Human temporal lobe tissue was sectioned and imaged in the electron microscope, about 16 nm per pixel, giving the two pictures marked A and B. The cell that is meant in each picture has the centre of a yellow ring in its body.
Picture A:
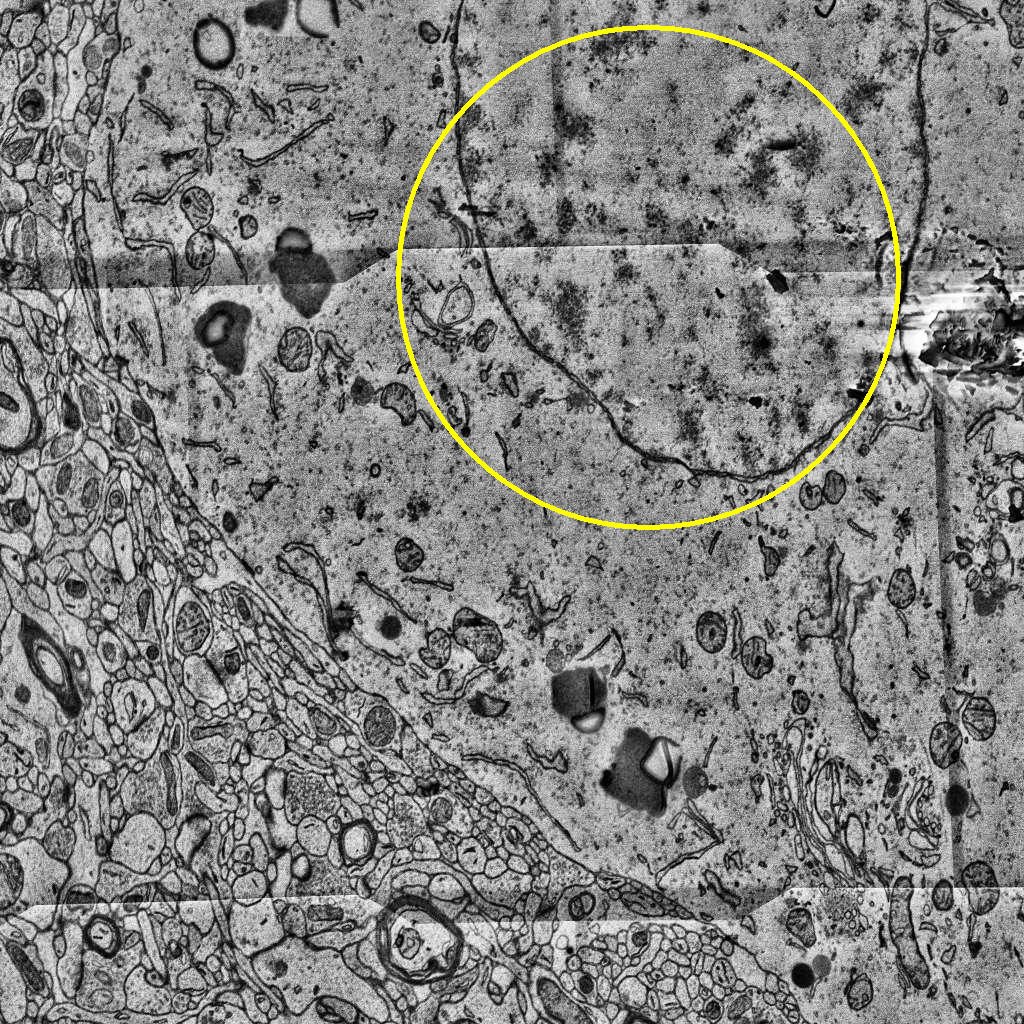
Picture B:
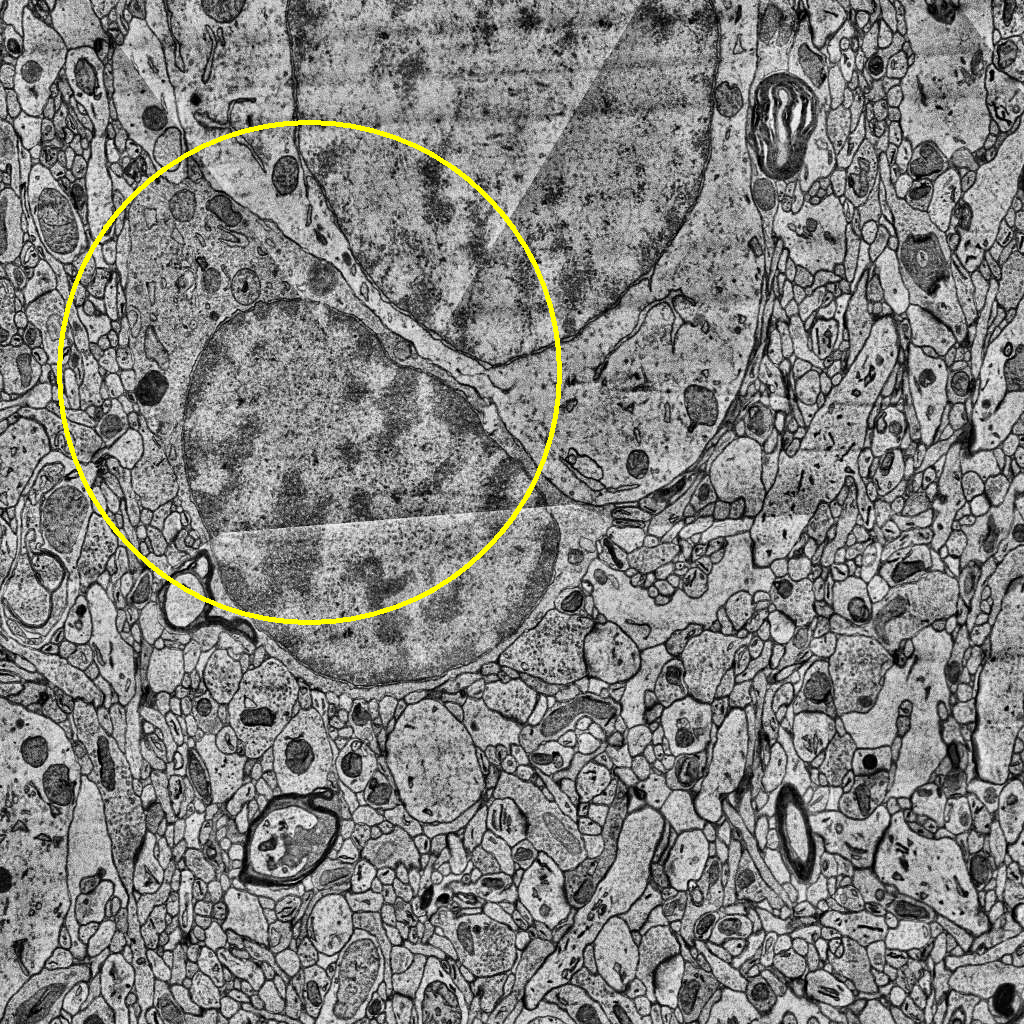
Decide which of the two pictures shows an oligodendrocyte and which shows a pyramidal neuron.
Picture B shows an oligodendrocyte, while picture A shows a pyramidal neuron.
